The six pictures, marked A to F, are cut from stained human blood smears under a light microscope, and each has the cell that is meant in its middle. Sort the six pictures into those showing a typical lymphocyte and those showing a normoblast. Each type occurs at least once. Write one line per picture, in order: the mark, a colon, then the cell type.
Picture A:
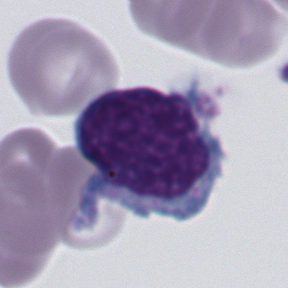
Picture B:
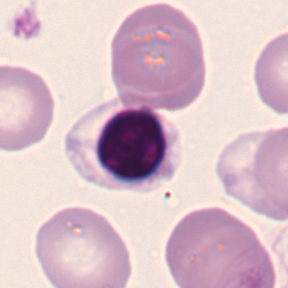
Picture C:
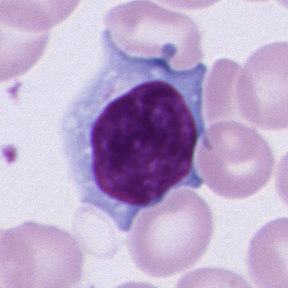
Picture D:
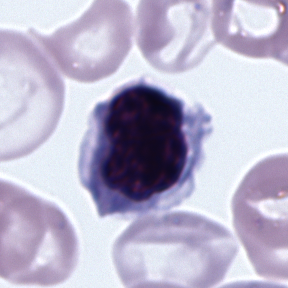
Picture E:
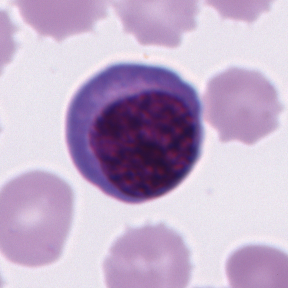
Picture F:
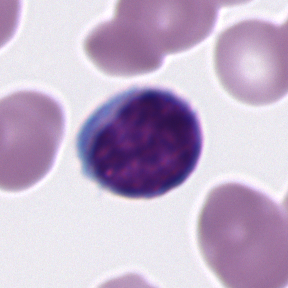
A: typical lymphocyte
B: normoblast
C: typical lymphocyte
D: normoblast
E: normoblast
F: typical lymphocyte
